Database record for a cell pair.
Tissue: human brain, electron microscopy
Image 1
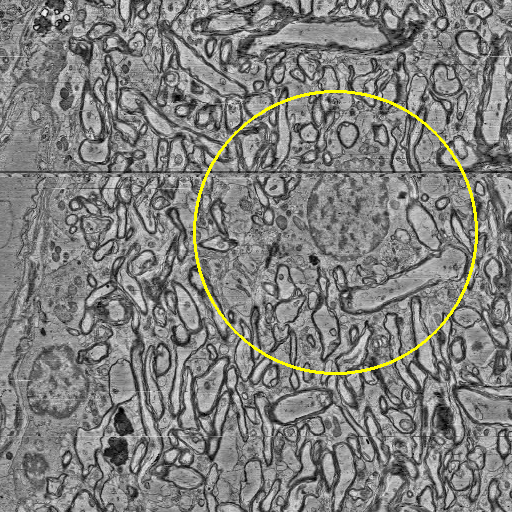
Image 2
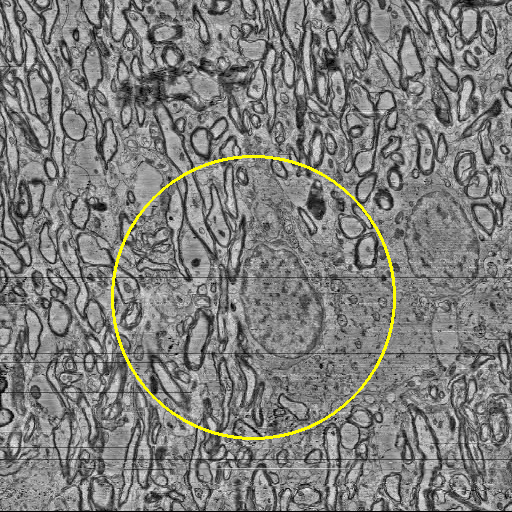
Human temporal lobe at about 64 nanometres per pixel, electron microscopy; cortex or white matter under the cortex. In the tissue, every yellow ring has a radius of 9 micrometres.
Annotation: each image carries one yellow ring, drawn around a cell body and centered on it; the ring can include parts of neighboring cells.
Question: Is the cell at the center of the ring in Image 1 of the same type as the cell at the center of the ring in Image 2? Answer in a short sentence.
Yes, the cells are of the same type.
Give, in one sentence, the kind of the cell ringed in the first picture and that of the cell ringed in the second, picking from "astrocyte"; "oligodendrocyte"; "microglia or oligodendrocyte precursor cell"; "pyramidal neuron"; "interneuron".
The cell in the first picture is an oligodendrocyte, and so is the one in the second.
